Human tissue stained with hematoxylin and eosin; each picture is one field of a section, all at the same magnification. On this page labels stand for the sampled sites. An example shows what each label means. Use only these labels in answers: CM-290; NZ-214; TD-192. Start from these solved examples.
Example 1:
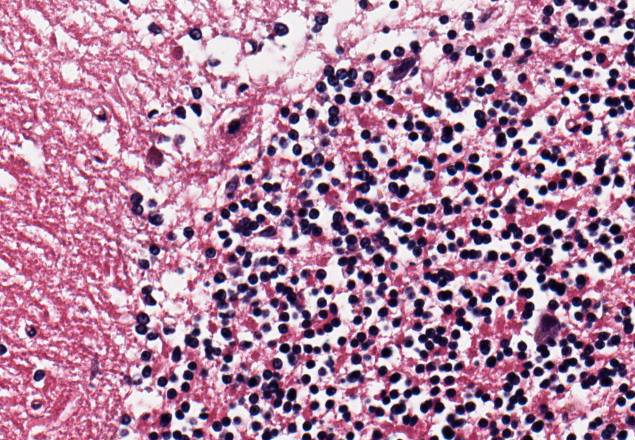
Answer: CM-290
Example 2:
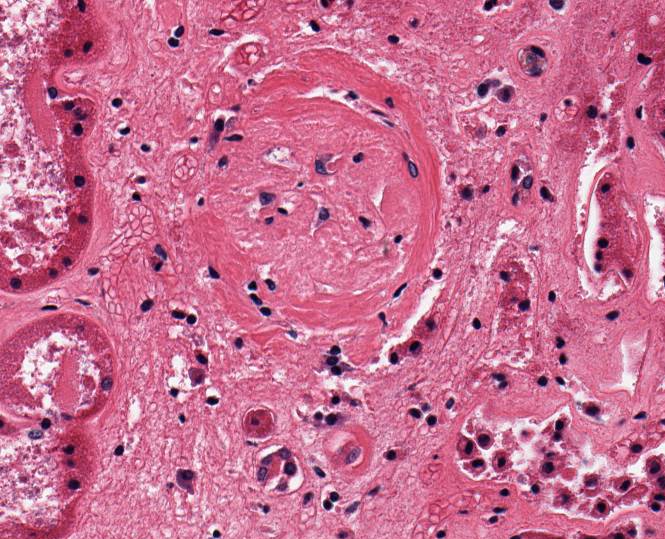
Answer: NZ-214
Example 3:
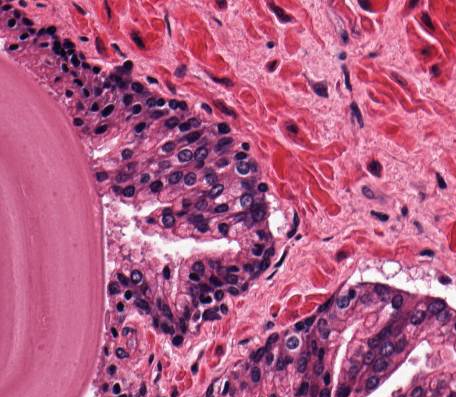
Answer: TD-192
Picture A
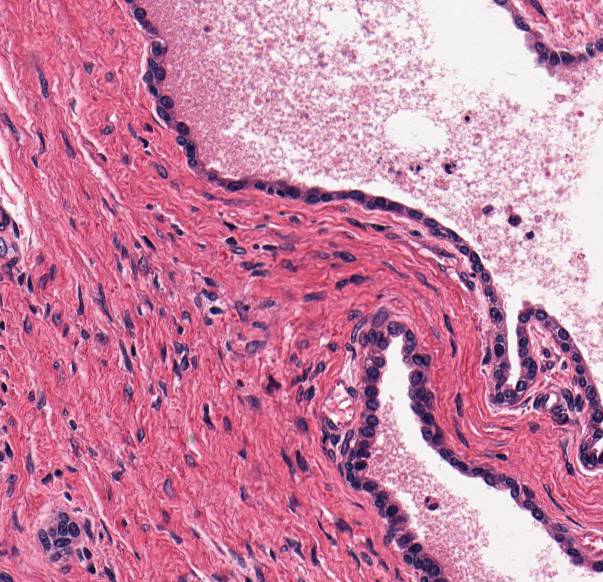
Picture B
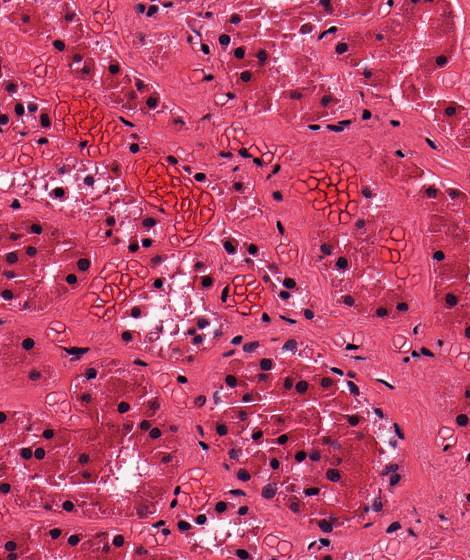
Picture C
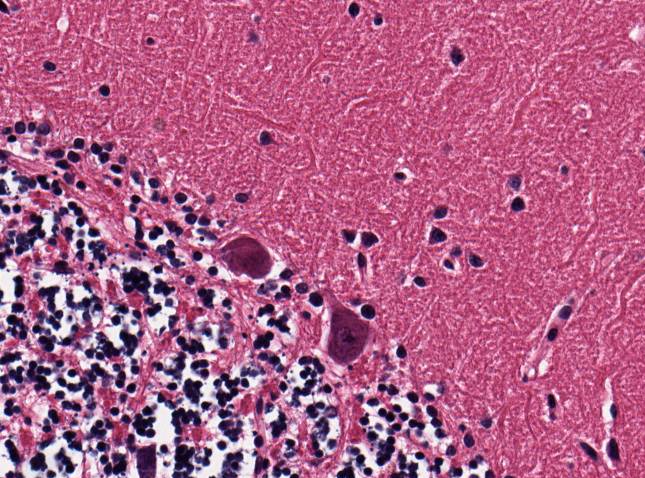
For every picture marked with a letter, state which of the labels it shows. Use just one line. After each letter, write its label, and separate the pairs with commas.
A TD-192, B NZ-214, C CM-290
